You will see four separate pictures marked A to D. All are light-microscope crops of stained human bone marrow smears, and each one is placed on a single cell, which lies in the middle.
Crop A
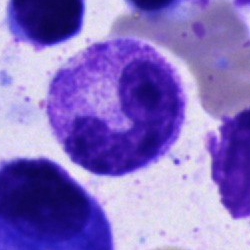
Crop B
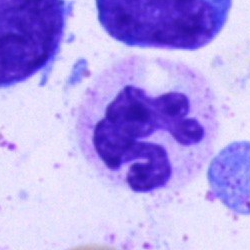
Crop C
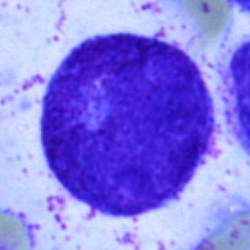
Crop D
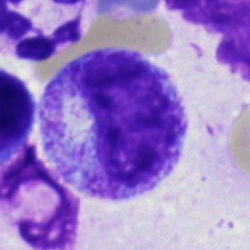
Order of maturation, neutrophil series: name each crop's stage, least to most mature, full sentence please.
From least to most mature, the order is crop C (a promyelocyte), crop D (a myelocyte), crop A (a band neutrophil) and crop B (a segmented neutrophil).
